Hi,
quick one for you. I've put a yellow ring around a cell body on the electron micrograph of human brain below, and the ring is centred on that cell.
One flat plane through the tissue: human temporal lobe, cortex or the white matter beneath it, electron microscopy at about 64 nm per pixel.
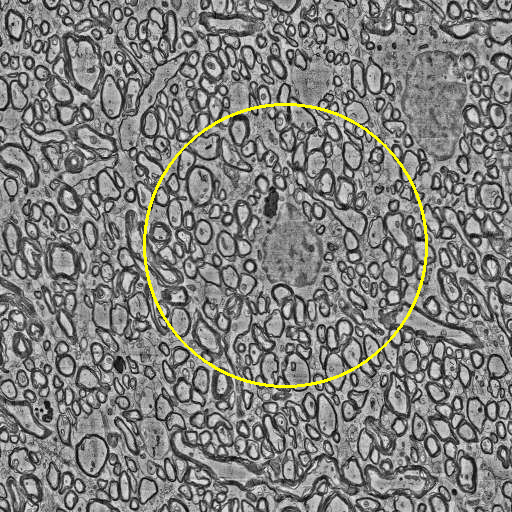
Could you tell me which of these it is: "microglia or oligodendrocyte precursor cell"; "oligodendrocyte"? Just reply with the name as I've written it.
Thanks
oligodendrocyte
